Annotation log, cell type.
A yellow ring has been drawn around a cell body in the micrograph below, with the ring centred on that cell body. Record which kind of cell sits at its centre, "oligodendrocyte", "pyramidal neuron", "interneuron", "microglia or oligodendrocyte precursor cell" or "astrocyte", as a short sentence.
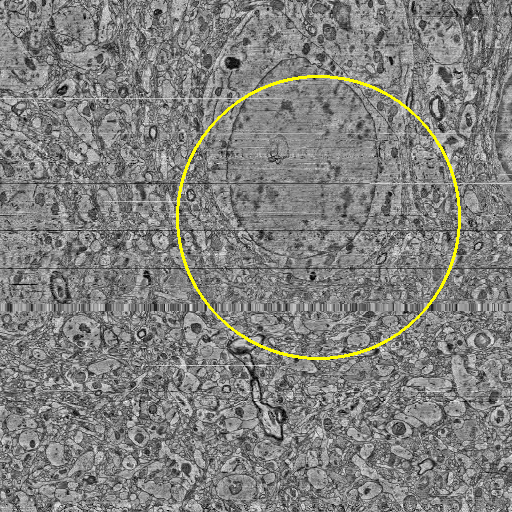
The cell at the centre of this ring is a pyramidal neuron.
